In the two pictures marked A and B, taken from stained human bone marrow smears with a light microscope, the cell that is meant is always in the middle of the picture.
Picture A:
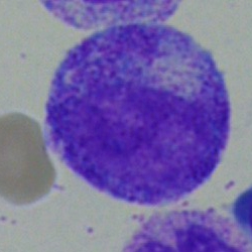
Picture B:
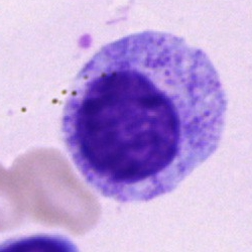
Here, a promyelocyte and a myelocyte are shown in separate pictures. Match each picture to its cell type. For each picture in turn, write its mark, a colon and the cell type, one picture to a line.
A: promyelocyte
B: myelocyte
